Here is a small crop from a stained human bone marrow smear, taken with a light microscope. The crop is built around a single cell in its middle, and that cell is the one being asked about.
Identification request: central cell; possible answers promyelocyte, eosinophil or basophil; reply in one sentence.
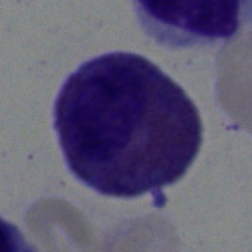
The central element of this crop is a cell, namely an eosinophil.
